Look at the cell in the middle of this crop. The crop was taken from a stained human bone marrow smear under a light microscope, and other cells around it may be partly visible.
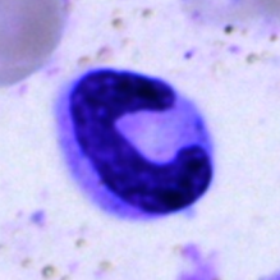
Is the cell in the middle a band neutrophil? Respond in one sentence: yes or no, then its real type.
Yes, the central cell of this crop corresponds to a band neutrophil.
